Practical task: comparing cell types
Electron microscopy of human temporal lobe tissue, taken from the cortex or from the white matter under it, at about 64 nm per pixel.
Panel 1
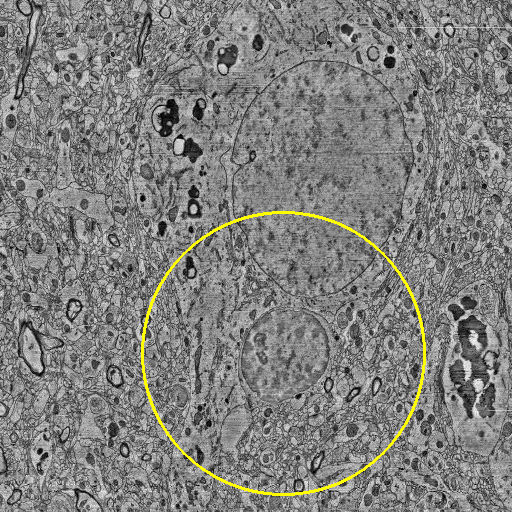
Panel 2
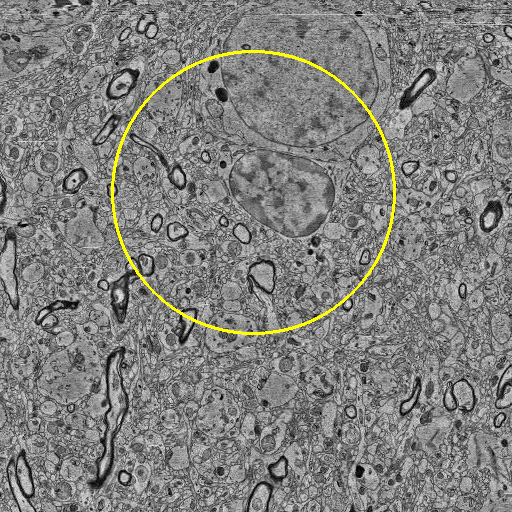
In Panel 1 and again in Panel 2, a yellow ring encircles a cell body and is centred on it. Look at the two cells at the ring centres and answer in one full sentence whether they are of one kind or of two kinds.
The two cells sitting at the ring centres of Panels 1 and 2 are of two kinds.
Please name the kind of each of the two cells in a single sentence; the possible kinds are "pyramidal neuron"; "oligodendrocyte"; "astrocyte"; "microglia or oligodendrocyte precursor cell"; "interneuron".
In the first picture the ring is centred on an oligodendrocyte, and in the second on a microglial cell or oligodendrocyte precursor cell.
